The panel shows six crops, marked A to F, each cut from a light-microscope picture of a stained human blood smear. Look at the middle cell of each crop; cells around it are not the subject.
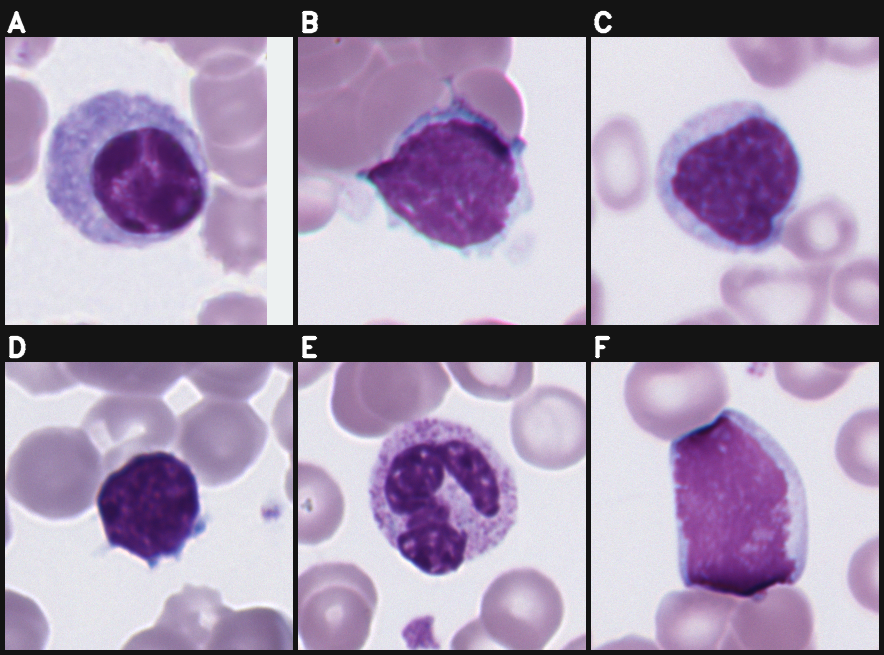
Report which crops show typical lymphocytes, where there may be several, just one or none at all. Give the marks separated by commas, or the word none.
B, C, D, F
